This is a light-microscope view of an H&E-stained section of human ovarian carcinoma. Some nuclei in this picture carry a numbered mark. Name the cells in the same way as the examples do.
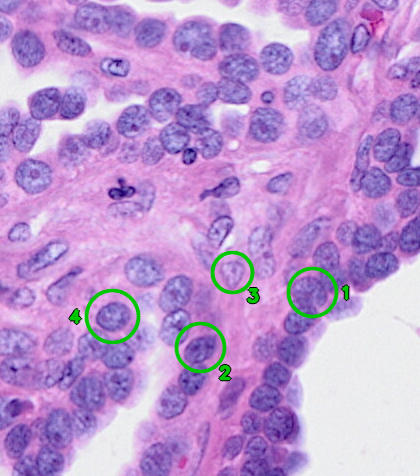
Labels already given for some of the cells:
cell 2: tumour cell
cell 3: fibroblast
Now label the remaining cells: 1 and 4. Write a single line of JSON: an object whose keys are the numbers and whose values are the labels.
{"1": "tumour cell", "4": "tumour cell"}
